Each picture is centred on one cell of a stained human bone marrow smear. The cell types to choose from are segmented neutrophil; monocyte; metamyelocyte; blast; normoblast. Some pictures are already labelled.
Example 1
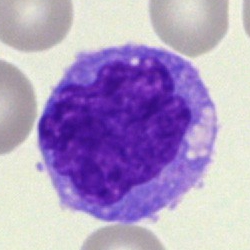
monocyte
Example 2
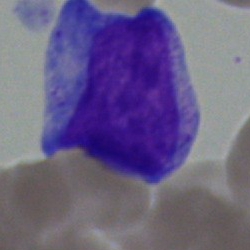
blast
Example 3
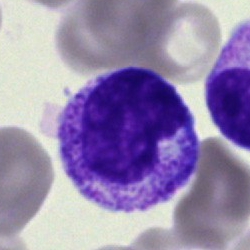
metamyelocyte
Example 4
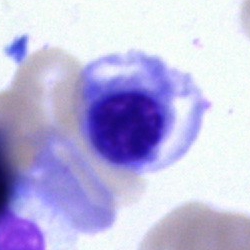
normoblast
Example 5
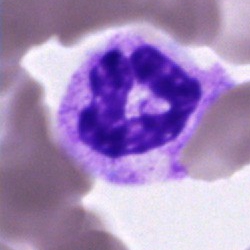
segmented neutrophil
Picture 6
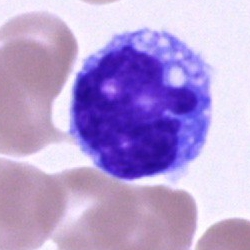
monocyte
